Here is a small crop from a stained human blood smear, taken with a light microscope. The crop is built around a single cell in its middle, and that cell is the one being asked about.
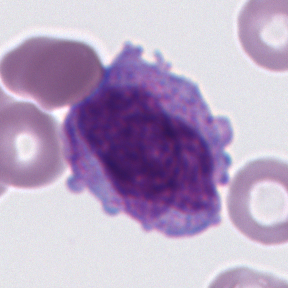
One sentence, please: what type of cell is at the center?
Occupying the centre of the crop is an atypical promyelocyte.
